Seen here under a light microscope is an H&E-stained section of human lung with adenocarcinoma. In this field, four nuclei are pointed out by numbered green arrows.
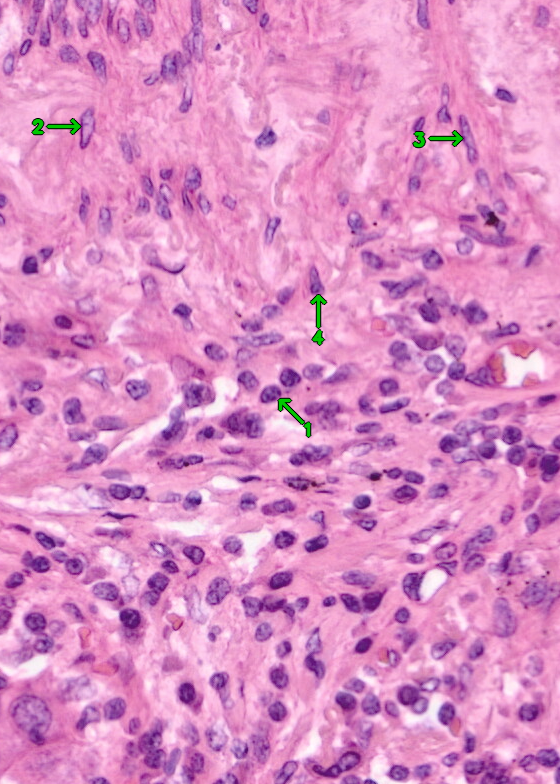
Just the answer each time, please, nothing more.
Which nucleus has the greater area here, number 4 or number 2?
2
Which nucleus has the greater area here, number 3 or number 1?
3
